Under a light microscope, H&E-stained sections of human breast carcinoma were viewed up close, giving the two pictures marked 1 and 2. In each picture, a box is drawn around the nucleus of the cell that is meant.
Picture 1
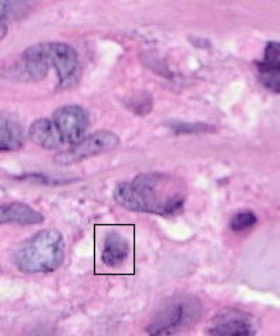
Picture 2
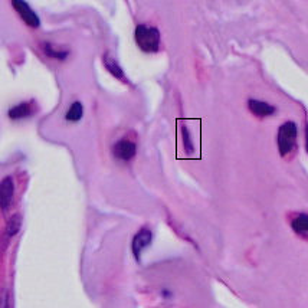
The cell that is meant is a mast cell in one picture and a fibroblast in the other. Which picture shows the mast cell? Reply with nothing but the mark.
1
